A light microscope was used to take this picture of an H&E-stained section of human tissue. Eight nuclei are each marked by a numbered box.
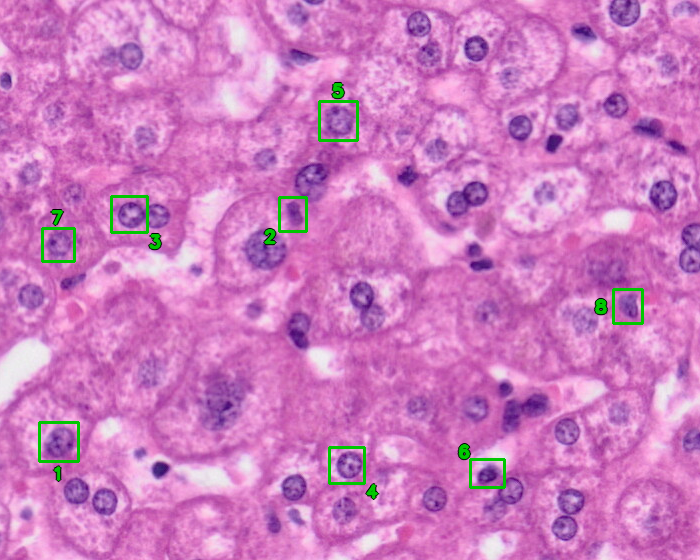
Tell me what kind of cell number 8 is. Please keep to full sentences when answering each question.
Classified as an endothelial cell is the cell with the number 8.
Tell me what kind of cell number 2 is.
The marked nucleus 2 is that of a fibroblast or stellate cell.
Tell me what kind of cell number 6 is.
The cell whose nucleus carries the number 6 is a Kupffer cell.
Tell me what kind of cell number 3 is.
Within this field of view, the cell labelled 3 is a hepatocyte.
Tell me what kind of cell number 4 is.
The marked cell bearing number 4 is a hepatocyte.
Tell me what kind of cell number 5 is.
In this section, number 5 marks a hepatocyte.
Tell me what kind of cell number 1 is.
The cell numbered 1 represents a hepatocyte.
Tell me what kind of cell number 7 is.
Belonging to a hepatocyte is the nucleus that carries the number 7.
